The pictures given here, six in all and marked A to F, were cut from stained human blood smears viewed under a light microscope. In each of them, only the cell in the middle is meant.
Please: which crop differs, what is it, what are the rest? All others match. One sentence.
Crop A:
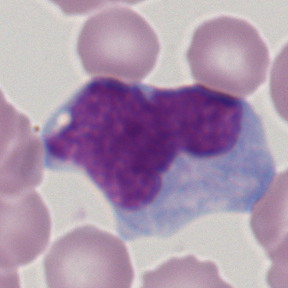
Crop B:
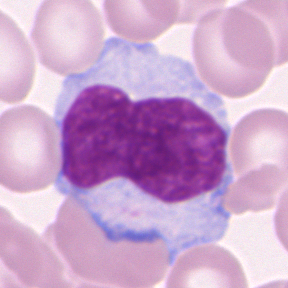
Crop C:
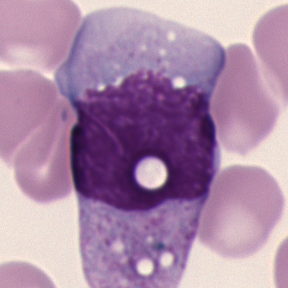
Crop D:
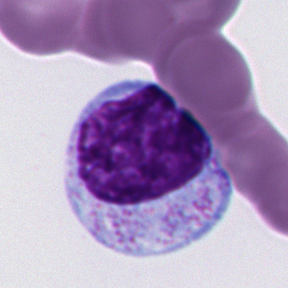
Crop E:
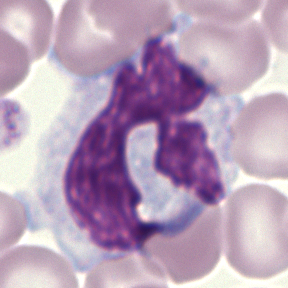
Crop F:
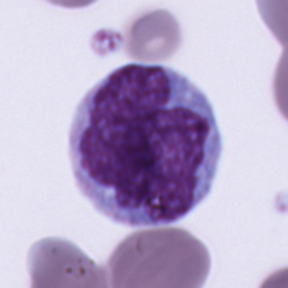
Found in all crops but one are monocytes; the exception, crop D, contains a myelocyte.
